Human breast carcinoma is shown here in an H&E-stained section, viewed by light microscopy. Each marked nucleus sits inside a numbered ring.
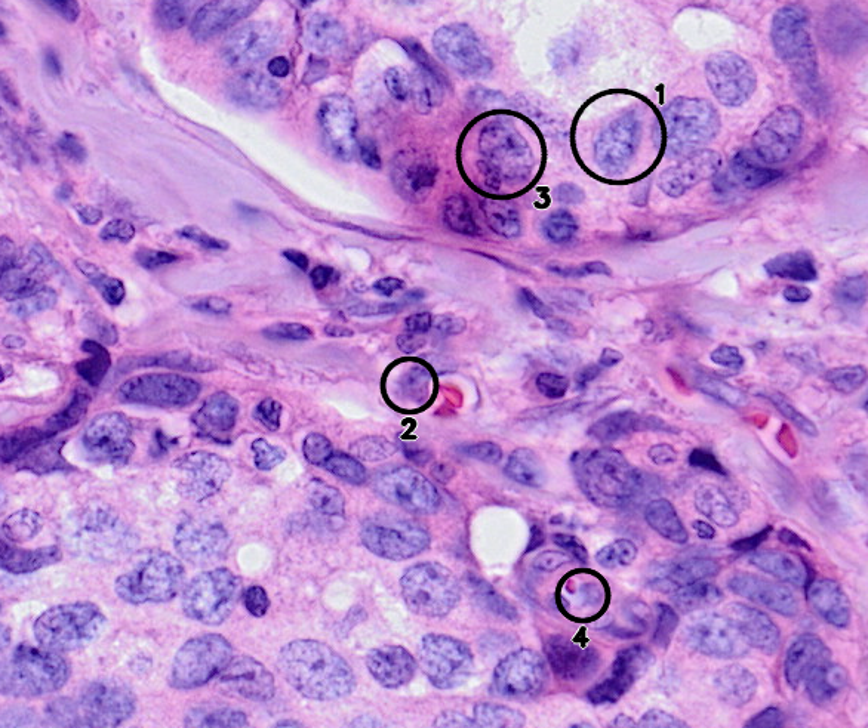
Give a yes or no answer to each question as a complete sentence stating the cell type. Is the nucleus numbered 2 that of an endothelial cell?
Yes, the cell that number 2 points to is an endothelial cell.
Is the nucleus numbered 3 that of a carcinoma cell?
Yes, for number 3, the cell is a carcinoma cell.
